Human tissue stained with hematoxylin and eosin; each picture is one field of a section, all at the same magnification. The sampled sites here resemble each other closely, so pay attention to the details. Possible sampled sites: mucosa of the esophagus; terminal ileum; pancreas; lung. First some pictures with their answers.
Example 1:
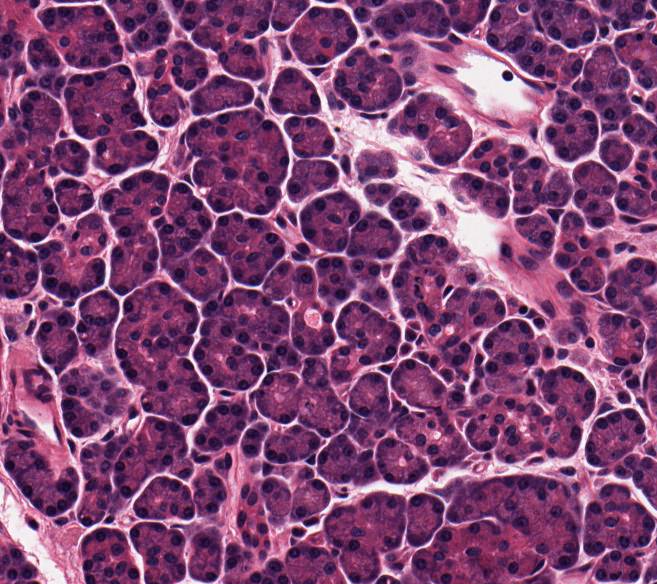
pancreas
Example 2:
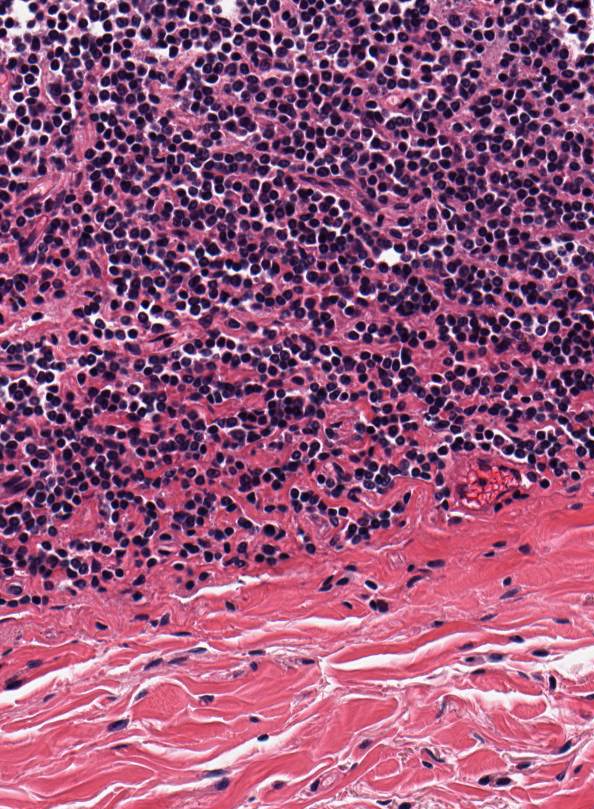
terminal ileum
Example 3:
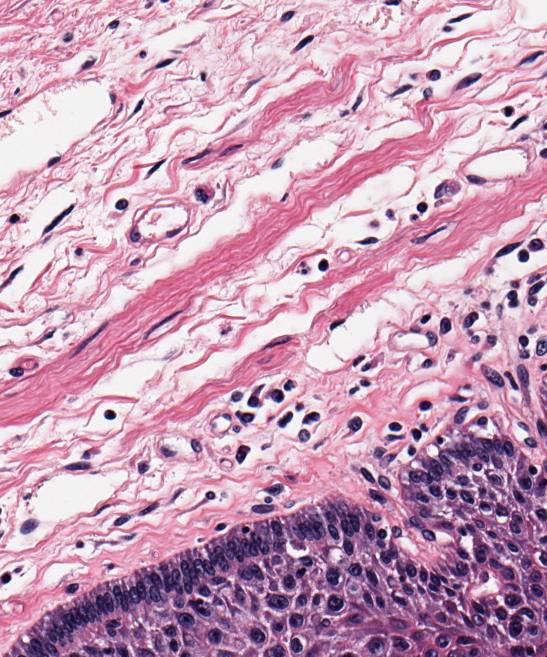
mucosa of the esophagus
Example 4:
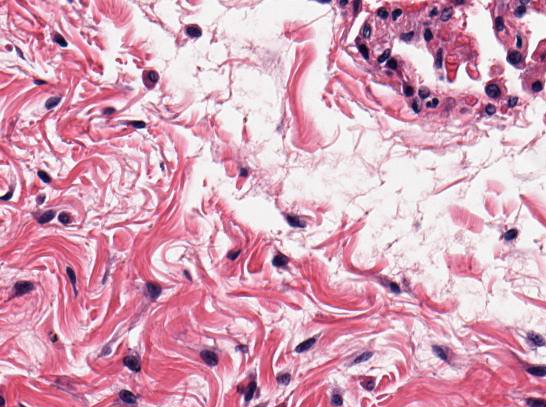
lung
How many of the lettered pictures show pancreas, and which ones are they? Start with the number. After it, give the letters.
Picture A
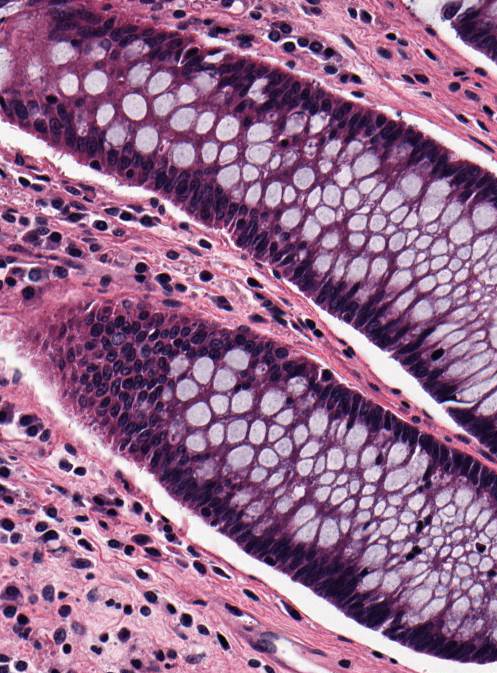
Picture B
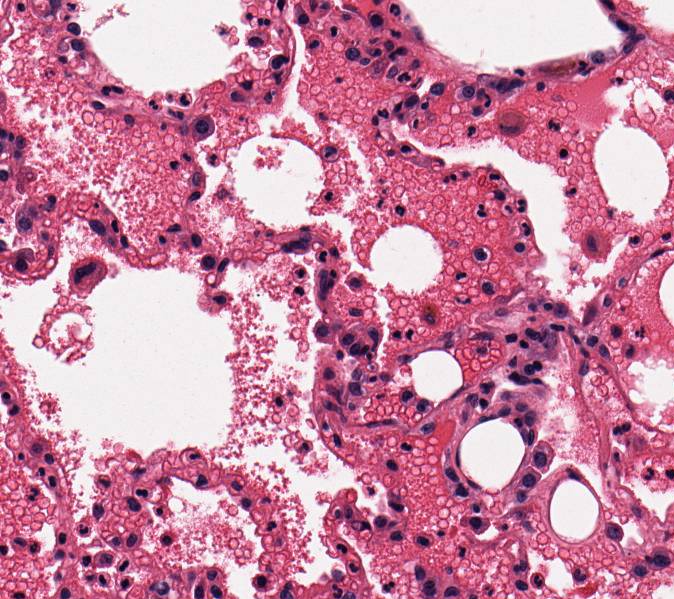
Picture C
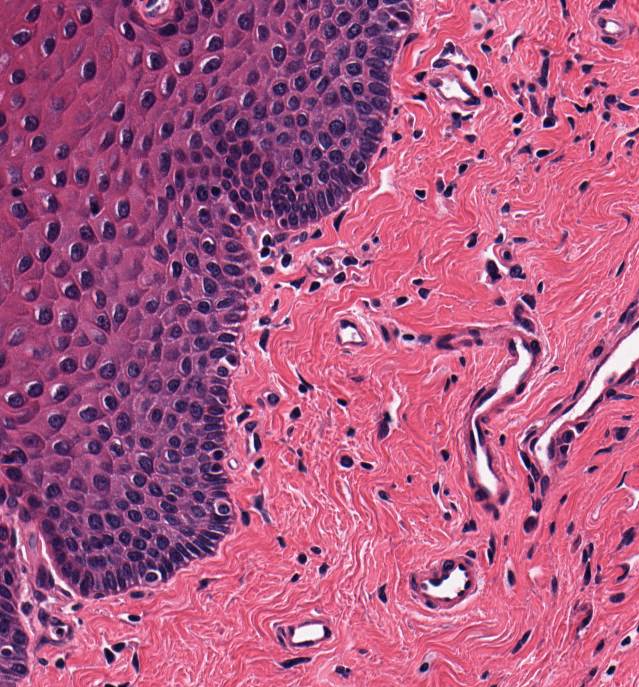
0, none of them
